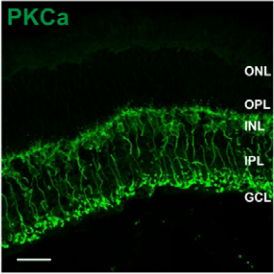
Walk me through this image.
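This is a cross-section of retina in which one population of bipolar cells shines green. Their cell bodies lie packed in the outer part of the inner nuclear layer, just beneath the outer plexiform layer, where short green dendrites reach upward. From each cell body a single slender process descends vertically through the inner plexiform layer, so the layer looks combed with parallel fibres. These fibres end in swollen green knobs forming a dense row at the inner border of the inner plexiform layer, next to the ganglion cell layer. The outer nuclear layer above is unlabelled and dark.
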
